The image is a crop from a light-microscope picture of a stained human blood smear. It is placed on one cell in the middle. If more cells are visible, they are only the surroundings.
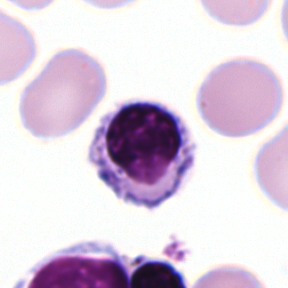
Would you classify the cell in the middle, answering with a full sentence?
In the middle of this smear crop, the cell is a normoblast.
